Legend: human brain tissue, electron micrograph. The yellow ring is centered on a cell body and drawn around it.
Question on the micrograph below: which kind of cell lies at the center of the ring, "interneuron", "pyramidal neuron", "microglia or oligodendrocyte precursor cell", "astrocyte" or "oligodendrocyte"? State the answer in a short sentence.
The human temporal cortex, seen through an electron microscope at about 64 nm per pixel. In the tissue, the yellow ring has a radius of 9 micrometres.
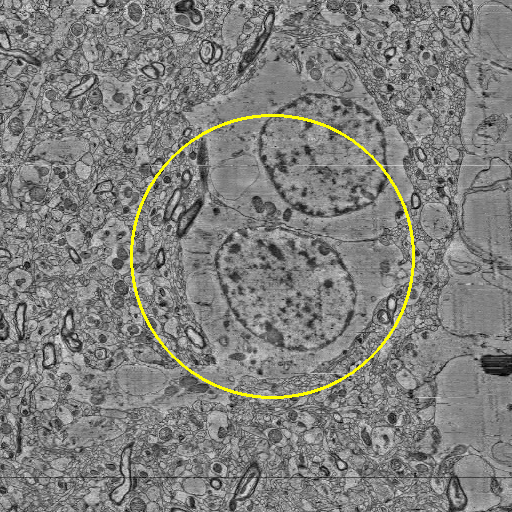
At the center of the ring lies an astrocyte.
